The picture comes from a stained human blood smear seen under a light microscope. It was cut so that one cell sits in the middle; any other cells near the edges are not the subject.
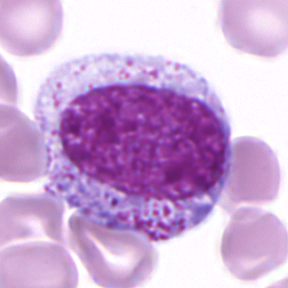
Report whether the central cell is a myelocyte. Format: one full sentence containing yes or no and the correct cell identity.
No, the cell in the middle is correctly named a promyelocyte, not a myelocyte.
